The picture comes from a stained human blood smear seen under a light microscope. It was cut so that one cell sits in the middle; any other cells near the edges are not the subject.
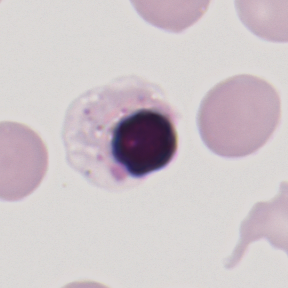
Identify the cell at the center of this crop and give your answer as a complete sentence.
In this crop, the cell at the very middle is an erythroblast.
